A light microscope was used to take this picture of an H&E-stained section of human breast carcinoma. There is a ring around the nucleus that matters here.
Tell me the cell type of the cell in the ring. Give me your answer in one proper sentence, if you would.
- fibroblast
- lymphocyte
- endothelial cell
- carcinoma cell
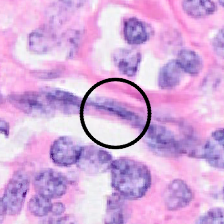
In this tissue sample, the cell in the ring is an endothelial cell.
